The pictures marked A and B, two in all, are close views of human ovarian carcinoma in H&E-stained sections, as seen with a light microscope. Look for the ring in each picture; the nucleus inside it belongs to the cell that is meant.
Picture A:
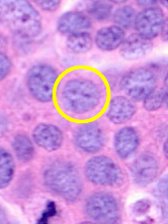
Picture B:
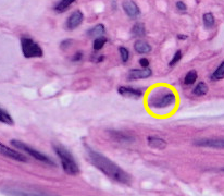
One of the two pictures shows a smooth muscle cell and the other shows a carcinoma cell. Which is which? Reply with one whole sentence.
In picture A the cell is a carcinoma cell; in picture B, a smooth muscle cell.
